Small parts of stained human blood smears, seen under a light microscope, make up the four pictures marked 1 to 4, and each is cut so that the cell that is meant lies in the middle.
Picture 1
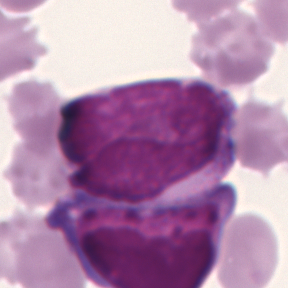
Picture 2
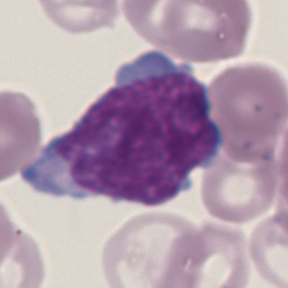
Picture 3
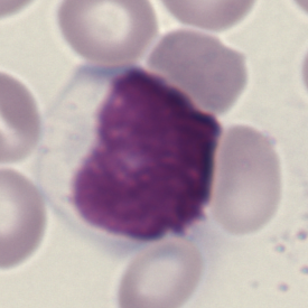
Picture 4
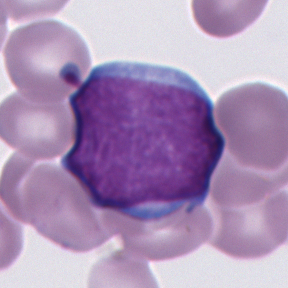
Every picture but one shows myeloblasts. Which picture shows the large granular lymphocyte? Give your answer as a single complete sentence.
Picture 3 is the one that shows the large granular lymphocyte.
